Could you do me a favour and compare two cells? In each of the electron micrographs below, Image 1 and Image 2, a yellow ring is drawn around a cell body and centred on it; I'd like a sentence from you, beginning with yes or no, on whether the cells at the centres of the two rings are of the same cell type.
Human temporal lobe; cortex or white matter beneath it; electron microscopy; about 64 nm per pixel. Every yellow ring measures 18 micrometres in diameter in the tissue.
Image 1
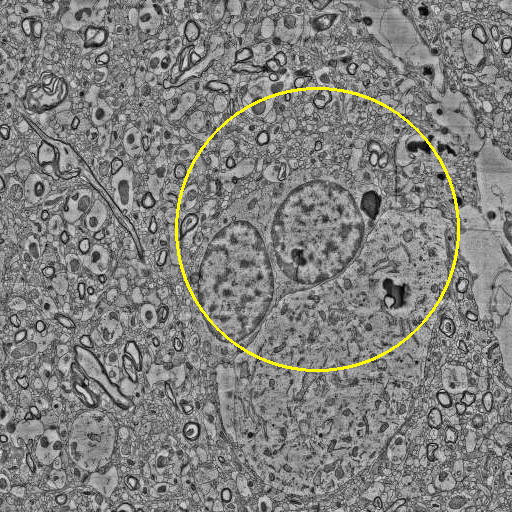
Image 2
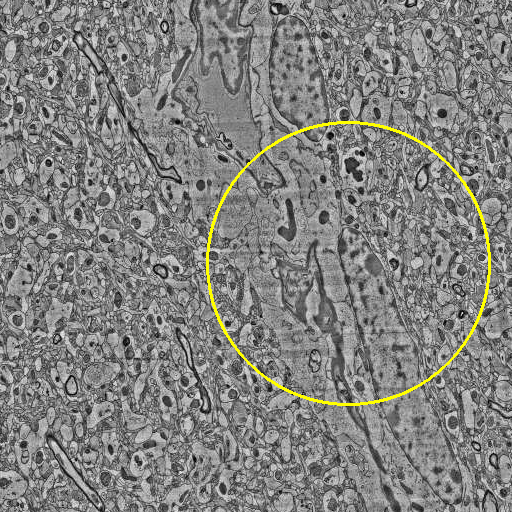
No, the two cells are of two cell types.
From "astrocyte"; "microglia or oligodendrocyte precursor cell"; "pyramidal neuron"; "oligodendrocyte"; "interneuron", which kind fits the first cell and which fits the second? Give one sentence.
The cell marked in the first picture is an oligodendrocyte, and the one marked in the second is a microglial cell or oligodendrocyte precursor cell.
